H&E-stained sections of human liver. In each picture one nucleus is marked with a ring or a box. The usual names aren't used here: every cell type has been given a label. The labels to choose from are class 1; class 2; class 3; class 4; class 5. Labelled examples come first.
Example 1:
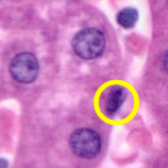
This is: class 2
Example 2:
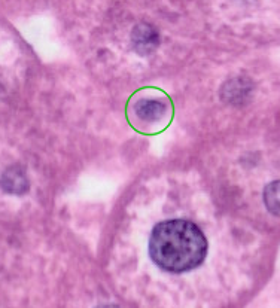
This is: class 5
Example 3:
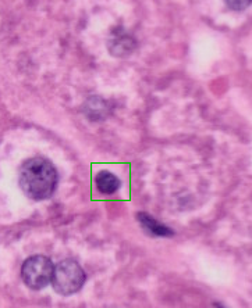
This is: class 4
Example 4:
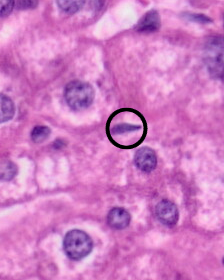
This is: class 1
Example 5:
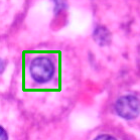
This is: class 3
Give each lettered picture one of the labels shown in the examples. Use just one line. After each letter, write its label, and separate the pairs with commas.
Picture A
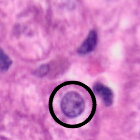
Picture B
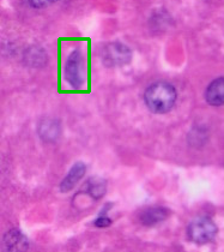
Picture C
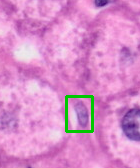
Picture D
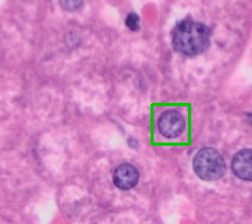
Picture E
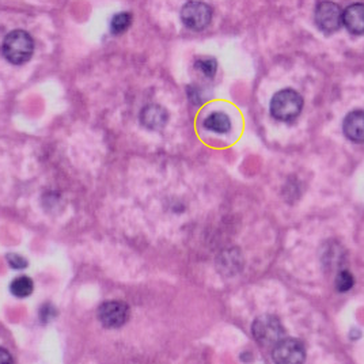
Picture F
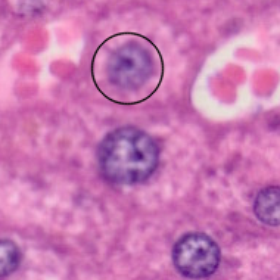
A class 3, B class 1, C class 5, D class 3, E class 4, F class 3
